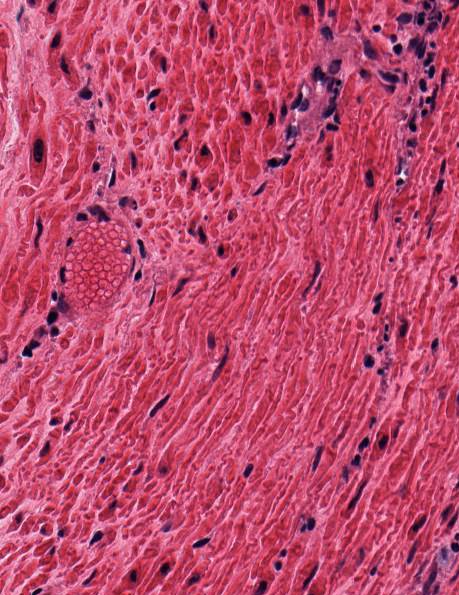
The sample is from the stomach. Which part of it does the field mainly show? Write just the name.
smooth muscle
